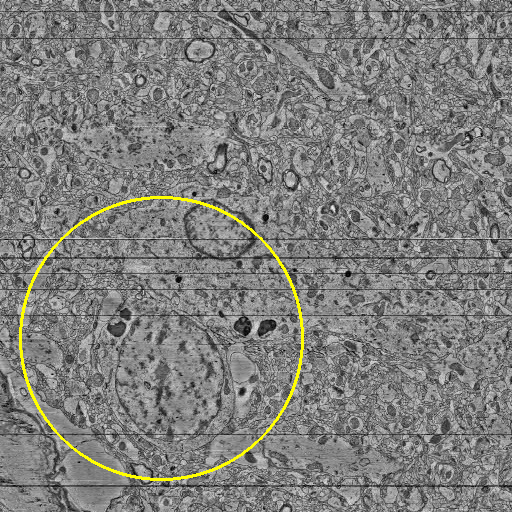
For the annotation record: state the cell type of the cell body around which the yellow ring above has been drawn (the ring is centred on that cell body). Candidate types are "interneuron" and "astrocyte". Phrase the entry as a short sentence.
The ringed cell is an interneuron.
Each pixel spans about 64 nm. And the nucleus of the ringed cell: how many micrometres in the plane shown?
Roughly 9 by 7 micrometres in this plane, for the nucleus of the ringed cell.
